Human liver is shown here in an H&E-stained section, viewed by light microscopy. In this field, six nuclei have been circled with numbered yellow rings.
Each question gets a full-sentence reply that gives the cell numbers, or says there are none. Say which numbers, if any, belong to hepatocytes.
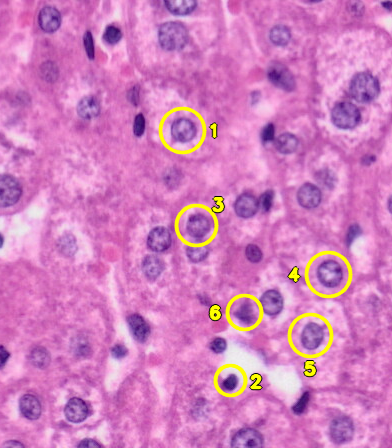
On this slide, the cells numbered 1, 3, 4 and 5 are hepatocytes.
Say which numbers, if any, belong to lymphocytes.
No marked cell except number 2 is a lymphocyte.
